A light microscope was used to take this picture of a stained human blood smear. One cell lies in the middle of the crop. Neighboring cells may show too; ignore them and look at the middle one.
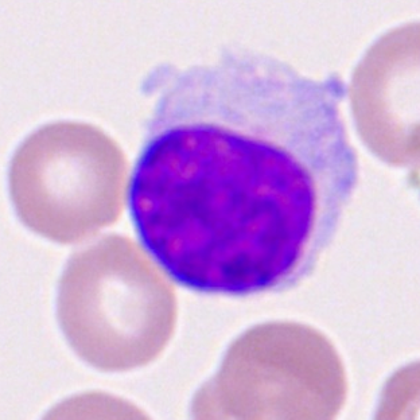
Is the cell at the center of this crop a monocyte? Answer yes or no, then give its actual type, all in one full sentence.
No, this is not a monocyte at all; the cell in the middle is a lymphocyte.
